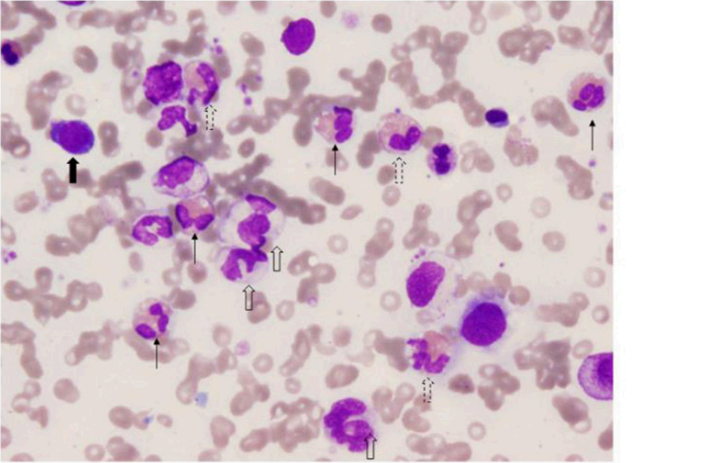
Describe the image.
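Bone marrow smear with numerous eosinophils of varying maturity scattered among red blood cells. Many cells have cytoplasm packed with pinkish-orange granules and purple nuclei that are either curved and band-like or divided into two or more lobes, corresponding to band forms and polymorphonuclear eosinophils. Other leukocytes with irregular, lobulated nuclei and paler cytoplasm lie among them. A few cells with round, dense purple nuclei and scant bluish cytoplasm are also present.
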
